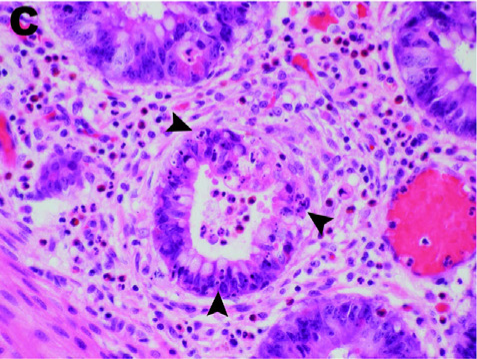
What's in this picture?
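Inflamed intestinal mucosa with a crypt cut in cross-section, set in a densely infiltrated lamina propria. The crypt is lined by a single layer of tall columnar epithelial cells with purple basal nuclei around a central lumen holding some debris. Within this lining a few small, rounded, dense bodies with dark condensed nuclear fragments are marked. A vessel filled with pink red blood cells lies at the right, and parts of further crypts border the field.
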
